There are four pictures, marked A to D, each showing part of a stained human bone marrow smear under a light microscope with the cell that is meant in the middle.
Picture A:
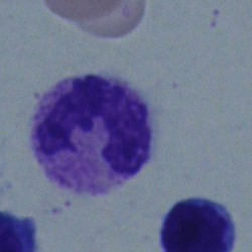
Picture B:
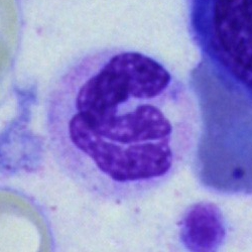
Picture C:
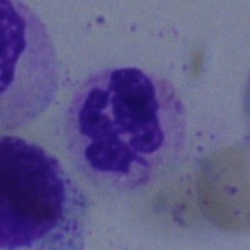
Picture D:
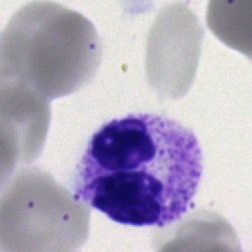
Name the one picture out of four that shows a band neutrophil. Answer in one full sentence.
It is picture A that shows the band neutrophil.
